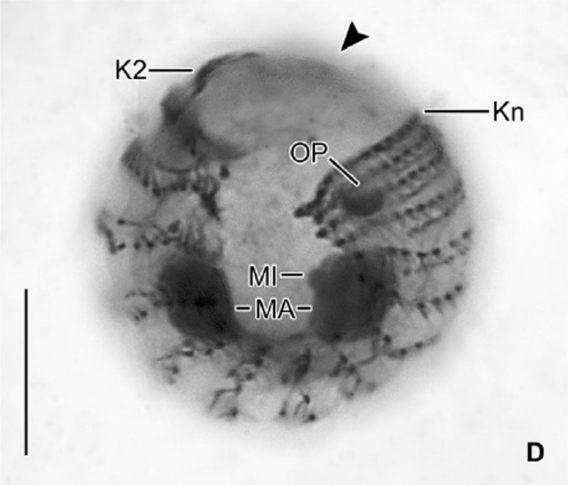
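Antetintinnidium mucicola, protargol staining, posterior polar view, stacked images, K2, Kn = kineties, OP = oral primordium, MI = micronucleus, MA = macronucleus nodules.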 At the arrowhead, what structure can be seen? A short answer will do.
Unciliated ventral stripe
